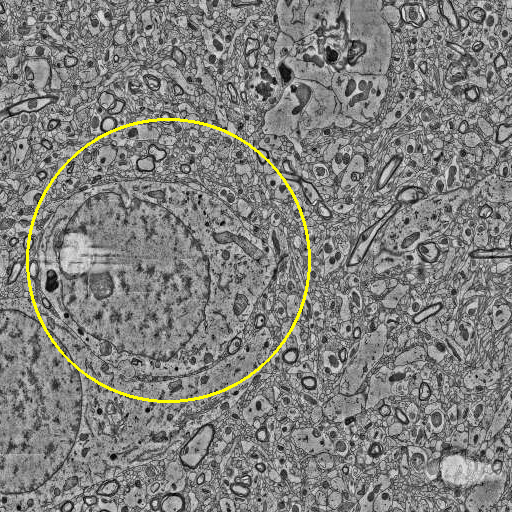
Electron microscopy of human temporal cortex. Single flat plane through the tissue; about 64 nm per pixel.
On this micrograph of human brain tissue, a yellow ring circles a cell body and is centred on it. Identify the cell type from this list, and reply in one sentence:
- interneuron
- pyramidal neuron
The cell at the centre is a pyramidal neuron.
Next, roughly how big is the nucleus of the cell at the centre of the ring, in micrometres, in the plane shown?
In this plane the nucleus is about 11 micrometres by 10.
